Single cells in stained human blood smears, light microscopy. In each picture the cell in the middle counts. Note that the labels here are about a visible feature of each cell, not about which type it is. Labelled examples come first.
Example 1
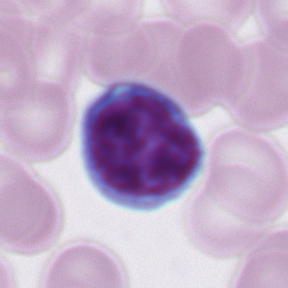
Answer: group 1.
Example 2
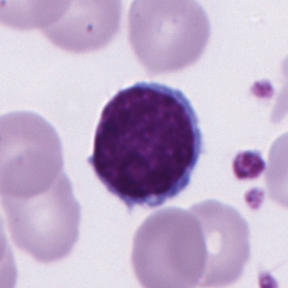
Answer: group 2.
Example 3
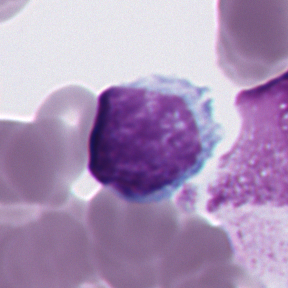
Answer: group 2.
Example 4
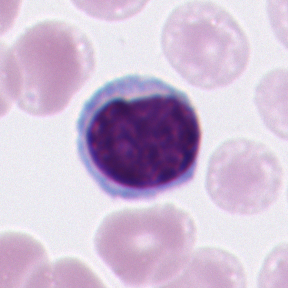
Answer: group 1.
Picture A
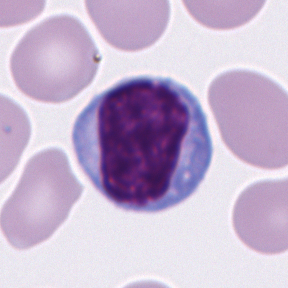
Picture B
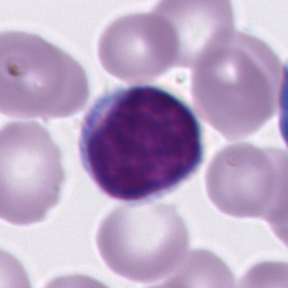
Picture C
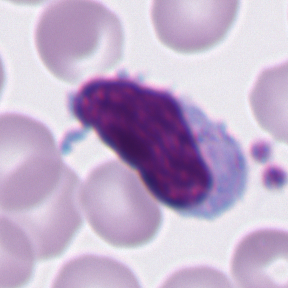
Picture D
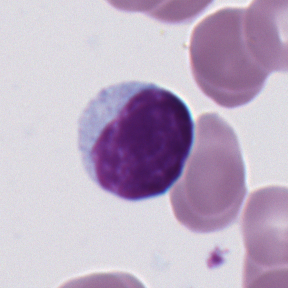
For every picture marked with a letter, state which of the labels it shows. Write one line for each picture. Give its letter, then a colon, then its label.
A: group 1.
B: group 1.
C: group 2.
D: group 1.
